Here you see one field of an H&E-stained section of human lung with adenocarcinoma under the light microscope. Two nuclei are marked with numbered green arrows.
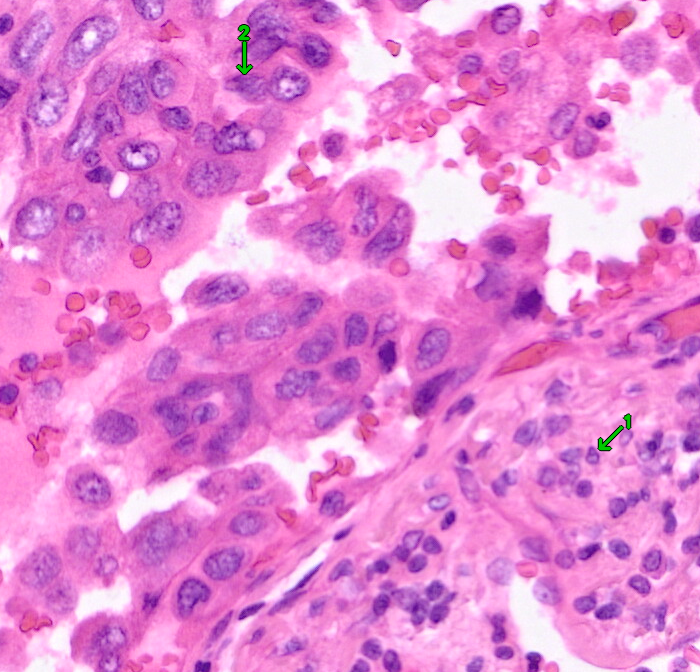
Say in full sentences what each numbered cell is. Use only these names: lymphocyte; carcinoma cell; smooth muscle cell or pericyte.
Cell 1 is a lymphocyte. Cell 2 is a carcinoma cell.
